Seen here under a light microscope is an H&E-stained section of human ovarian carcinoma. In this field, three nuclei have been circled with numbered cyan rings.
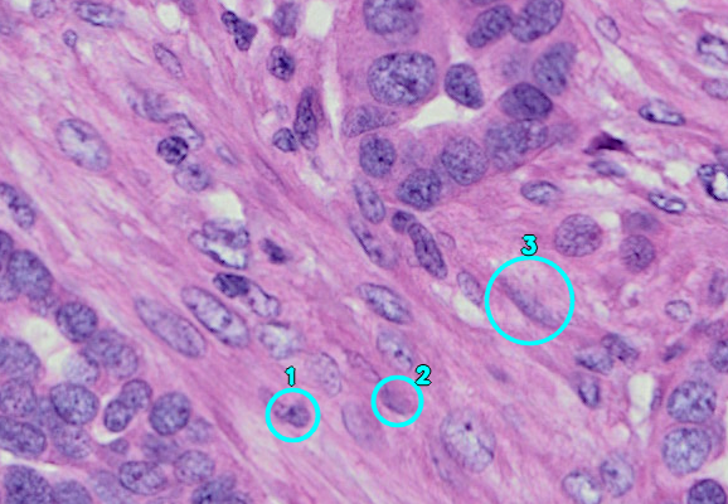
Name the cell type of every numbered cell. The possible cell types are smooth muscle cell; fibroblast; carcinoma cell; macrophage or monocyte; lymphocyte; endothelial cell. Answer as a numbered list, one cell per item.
1. macrophage or monocyte
2. fibroblast
3. fibroblast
